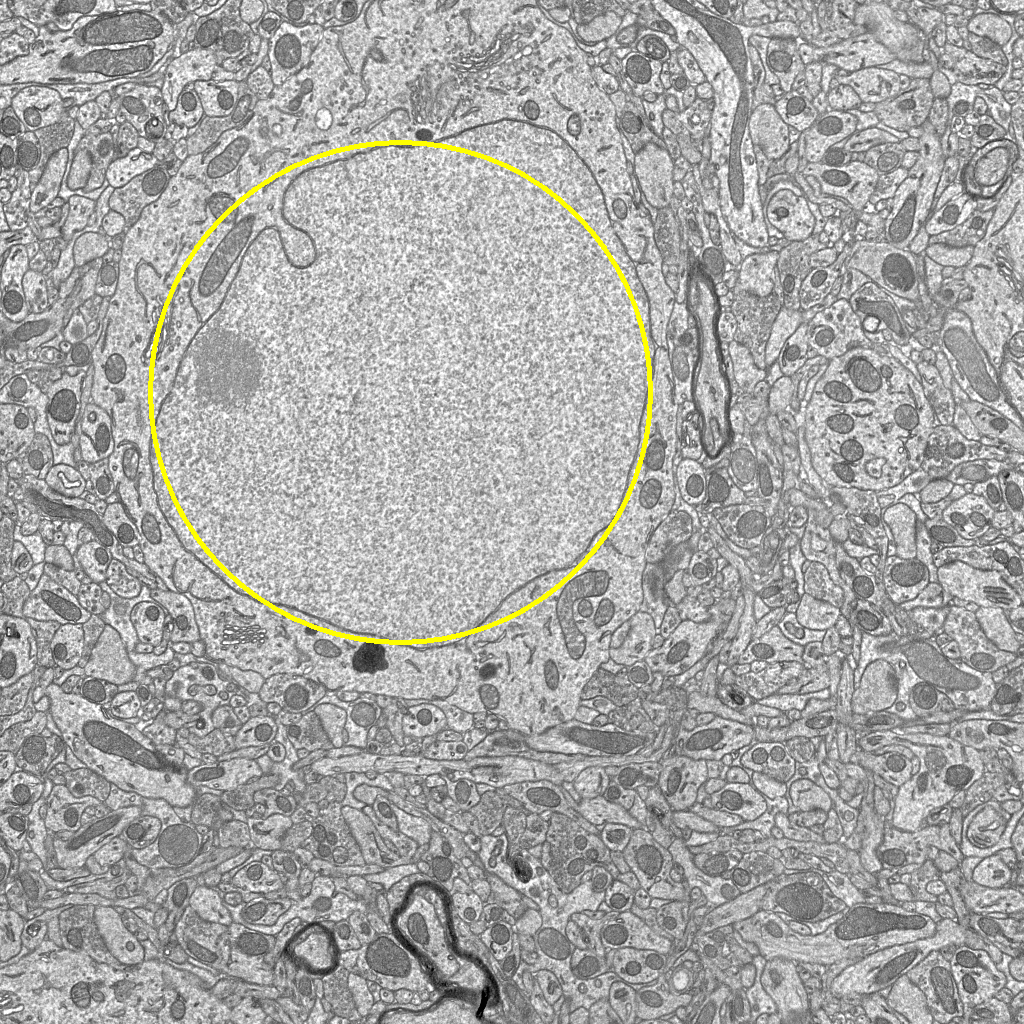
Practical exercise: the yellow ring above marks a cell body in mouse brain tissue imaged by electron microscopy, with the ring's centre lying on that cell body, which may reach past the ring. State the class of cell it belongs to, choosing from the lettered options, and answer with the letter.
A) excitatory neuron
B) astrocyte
A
